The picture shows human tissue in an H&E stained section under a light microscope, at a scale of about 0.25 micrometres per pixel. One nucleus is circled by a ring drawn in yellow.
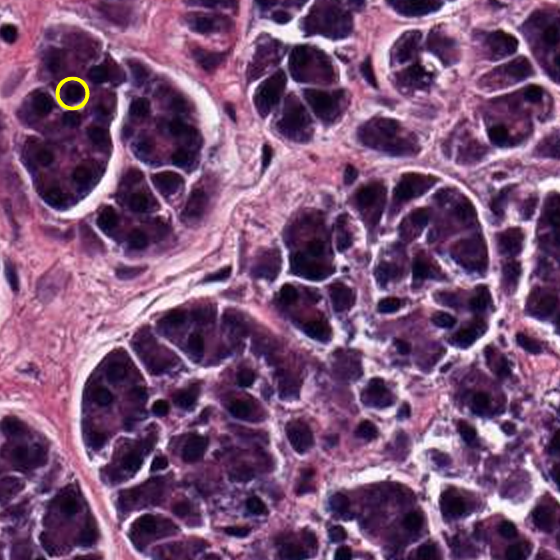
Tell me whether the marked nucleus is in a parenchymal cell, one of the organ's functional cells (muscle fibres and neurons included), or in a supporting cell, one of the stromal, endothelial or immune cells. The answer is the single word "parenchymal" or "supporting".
parenchymal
